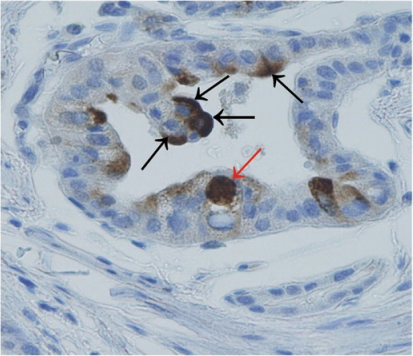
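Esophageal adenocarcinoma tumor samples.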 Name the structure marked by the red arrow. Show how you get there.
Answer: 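A round, dark brown body lies within a cell of the gland lining. A clear space borders the body. The answer: globular structure.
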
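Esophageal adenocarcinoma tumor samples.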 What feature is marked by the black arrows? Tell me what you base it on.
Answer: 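Dark brown curved deposits cap or wrap around a nucleus. Deposits lie in cells lining a gland lumen. On this evidence: crescent or ring-like structures.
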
